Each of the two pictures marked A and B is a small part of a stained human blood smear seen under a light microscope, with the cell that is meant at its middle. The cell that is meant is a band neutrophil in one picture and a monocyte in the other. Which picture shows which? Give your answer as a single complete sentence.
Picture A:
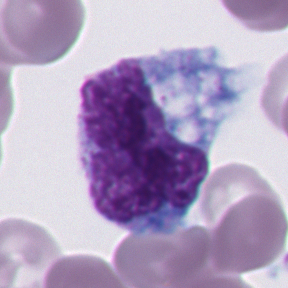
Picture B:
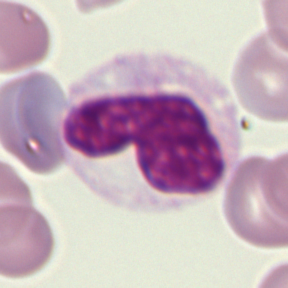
In picture A the cell is a monocyte; in picture B, a band neutrophil.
